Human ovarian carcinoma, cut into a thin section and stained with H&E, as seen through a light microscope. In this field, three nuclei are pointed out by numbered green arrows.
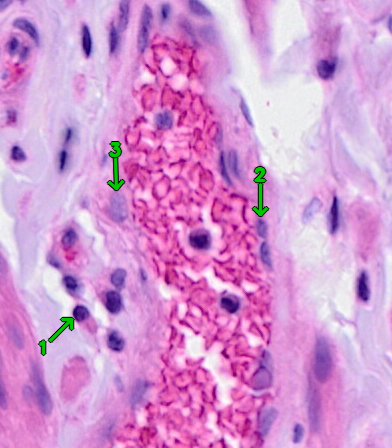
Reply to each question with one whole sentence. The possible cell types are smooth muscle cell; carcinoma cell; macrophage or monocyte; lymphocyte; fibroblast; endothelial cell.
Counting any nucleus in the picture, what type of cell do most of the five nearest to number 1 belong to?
Of the five nuclei nearest to number 1, most belong to macrophages or monocytes.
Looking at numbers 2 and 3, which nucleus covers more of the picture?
Nucleus 3 is the larger one, covering about 2.5 times the area of nucleus 2.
